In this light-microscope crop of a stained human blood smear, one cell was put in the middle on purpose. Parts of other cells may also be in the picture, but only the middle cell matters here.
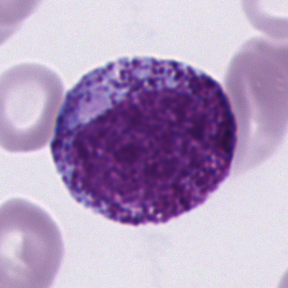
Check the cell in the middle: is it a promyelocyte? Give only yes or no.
yes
